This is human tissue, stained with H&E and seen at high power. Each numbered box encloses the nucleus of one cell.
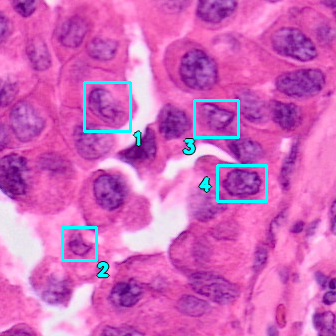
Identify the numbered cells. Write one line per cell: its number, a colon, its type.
1: carcinoma cell
2: macrophage or monocyte
3: carcinoma cell
4: carcinoma cell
